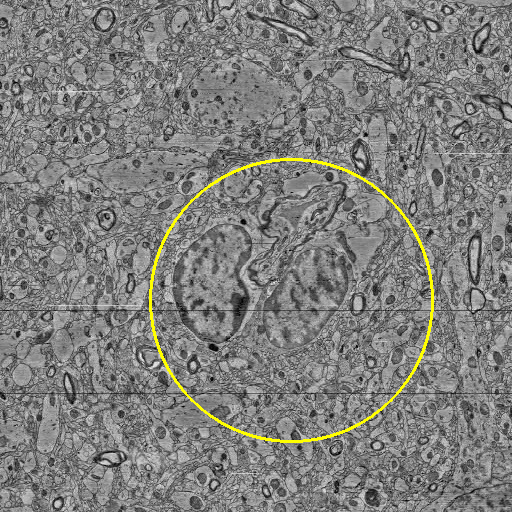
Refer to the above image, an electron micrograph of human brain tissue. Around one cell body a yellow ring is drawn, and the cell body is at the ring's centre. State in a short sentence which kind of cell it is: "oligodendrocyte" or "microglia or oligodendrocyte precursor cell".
The centre of the ring falls on an oligodendrocyte.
